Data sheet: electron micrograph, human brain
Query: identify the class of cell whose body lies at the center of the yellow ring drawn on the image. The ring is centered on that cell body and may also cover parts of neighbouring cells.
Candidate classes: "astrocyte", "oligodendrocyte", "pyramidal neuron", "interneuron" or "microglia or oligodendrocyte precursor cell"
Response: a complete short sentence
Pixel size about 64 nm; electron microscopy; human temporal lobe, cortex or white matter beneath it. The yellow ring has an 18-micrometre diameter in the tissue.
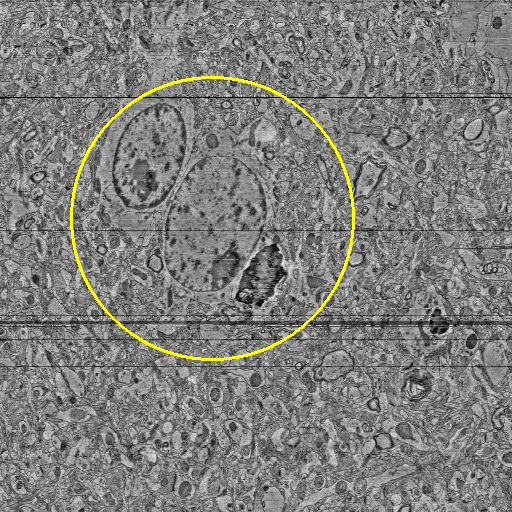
At the center of the ring lies an astrocyte.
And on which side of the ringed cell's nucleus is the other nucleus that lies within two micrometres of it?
The other nucleus lies to the upper left of it in the picture.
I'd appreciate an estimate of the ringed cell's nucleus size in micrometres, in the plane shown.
Approximately 9 by 6 micrometers in this plane.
